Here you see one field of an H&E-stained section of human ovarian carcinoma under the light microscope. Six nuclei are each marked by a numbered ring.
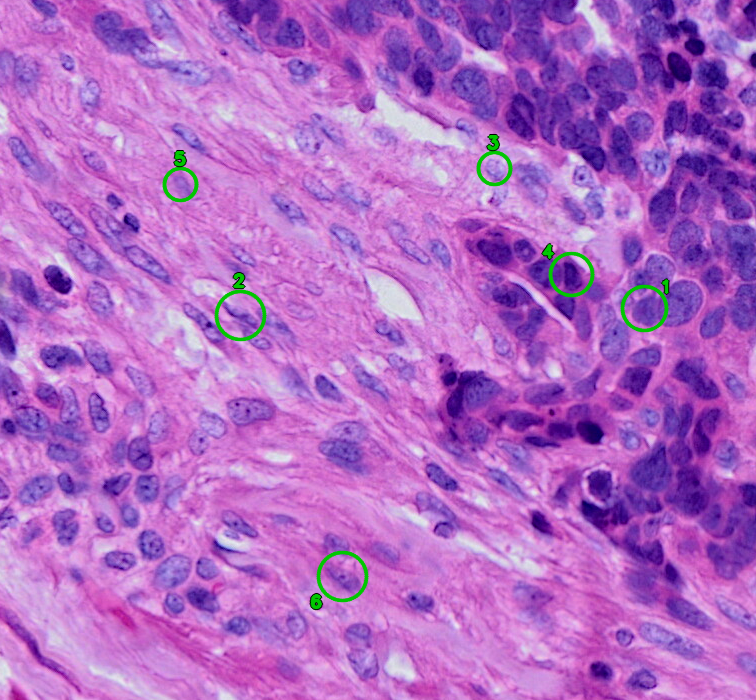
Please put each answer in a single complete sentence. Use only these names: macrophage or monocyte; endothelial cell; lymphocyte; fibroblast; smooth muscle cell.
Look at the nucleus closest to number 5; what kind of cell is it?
Number 5 lies closest to the nucleus of a fibroblast.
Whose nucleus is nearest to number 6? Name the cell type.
The nearest nucleus to number 6 belongs to a fibroblast.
